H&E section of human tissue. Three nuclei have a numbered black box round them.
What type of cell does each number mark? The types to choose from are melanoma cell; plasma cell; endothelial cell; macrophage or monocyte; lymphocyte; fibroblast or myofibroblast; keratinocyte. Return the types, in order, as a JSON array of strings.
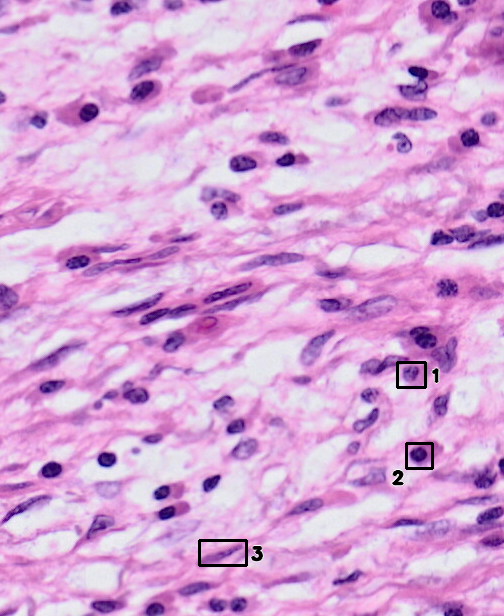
["plasma cell", "plasma cell", "fibroblast or myofibroblast"]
